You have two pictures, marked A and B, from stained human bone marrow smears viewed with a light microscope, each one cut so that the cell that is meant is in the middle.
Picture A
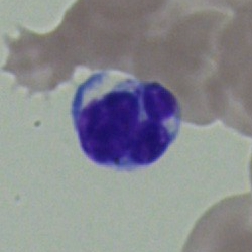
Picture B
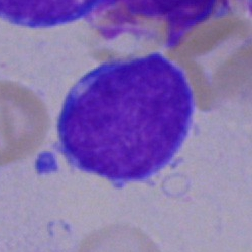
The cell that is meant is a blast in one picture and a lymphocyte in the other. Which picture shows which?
A: lymphocyte
B: blast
